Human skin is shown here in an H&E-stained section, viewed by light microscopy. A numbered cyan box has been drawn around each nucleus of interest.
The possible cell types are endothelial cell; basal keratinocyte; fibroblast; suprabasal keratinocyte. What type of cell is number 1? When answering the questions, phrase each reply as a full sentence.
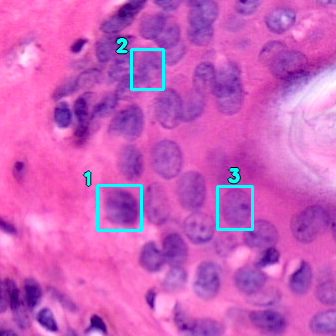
The identity of cell 1 is that of a basal keratinocyte.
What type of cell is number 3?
The cell numbered 3 represents a suprabasal keratinocyte.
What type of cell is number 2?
Belonging to a suprabasal keratinocyte is the nucleus that carries the number 2.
